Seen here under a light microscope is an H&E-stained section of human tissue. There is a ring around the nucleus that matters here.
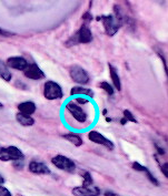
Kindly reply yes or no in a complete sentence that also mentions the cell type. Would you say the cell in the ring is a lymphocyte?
Yes, to put it simply, the cell in the ring is a lymphocyte.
